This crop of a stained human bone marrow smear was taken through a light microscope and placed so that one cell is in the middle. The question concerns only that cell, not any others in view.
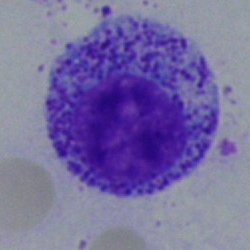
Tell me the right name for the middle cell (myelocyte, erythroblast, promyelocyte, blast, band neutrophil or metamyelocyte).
myelocyte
